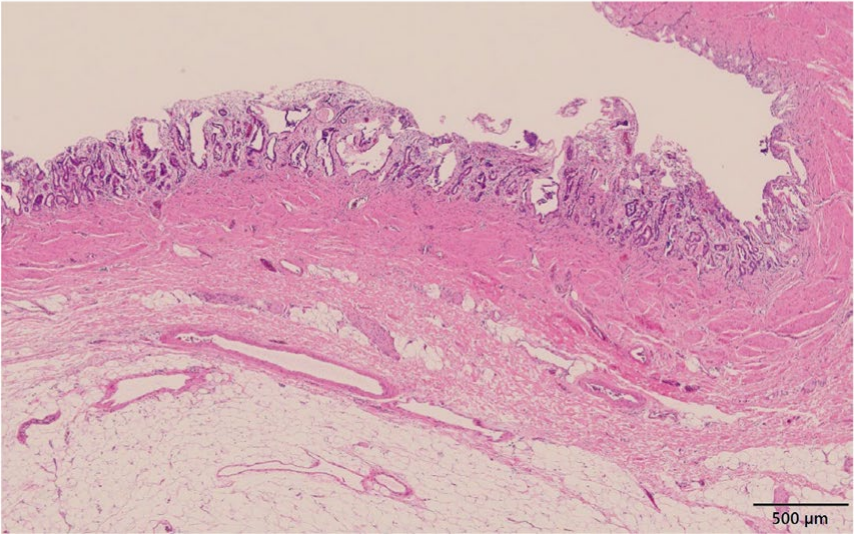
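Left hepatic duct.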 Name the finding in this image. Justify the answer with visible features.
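A thin layer of irregular, micropapillary epithelium lines the duct surface. The epithelium stays above the pink fibrous wall without invading it. Beneath the wall lie fat and blood vessels.
Answer: Biliary intraepithelial neoplasia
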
